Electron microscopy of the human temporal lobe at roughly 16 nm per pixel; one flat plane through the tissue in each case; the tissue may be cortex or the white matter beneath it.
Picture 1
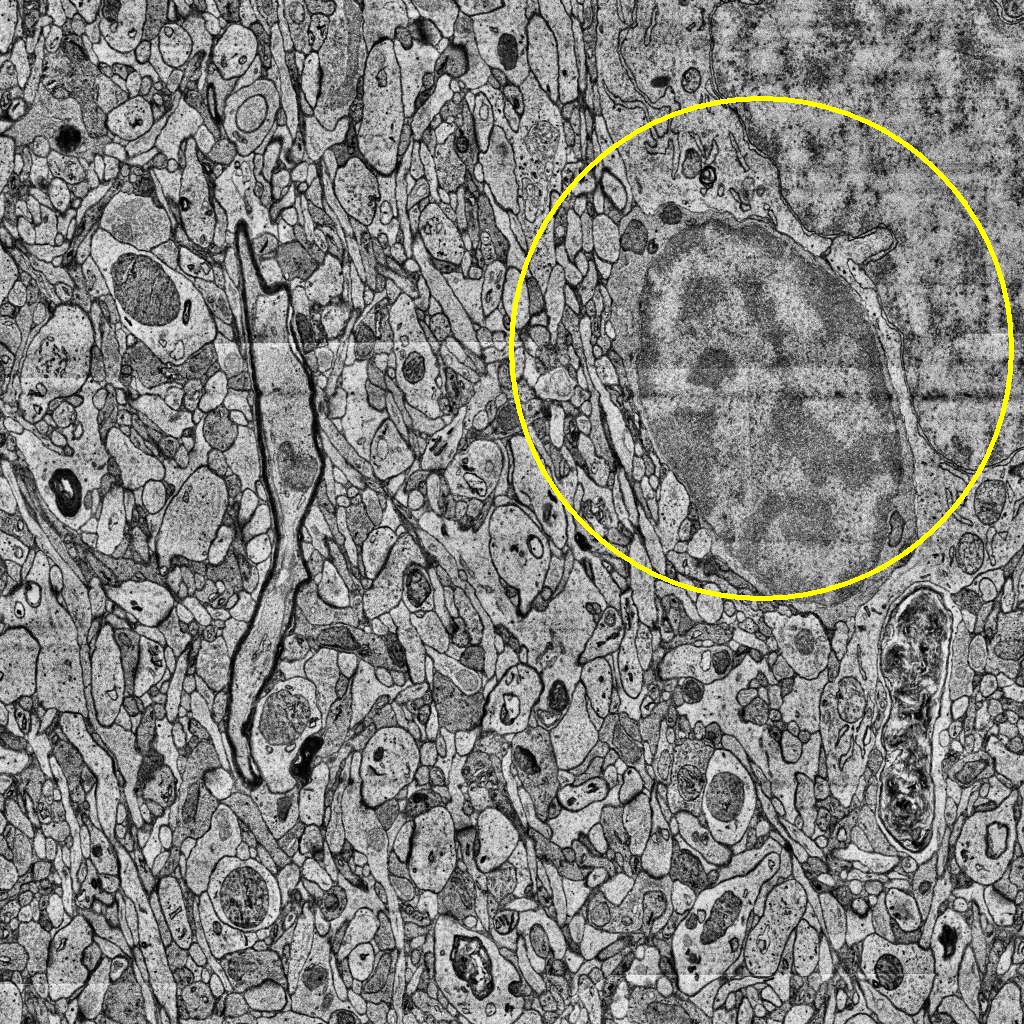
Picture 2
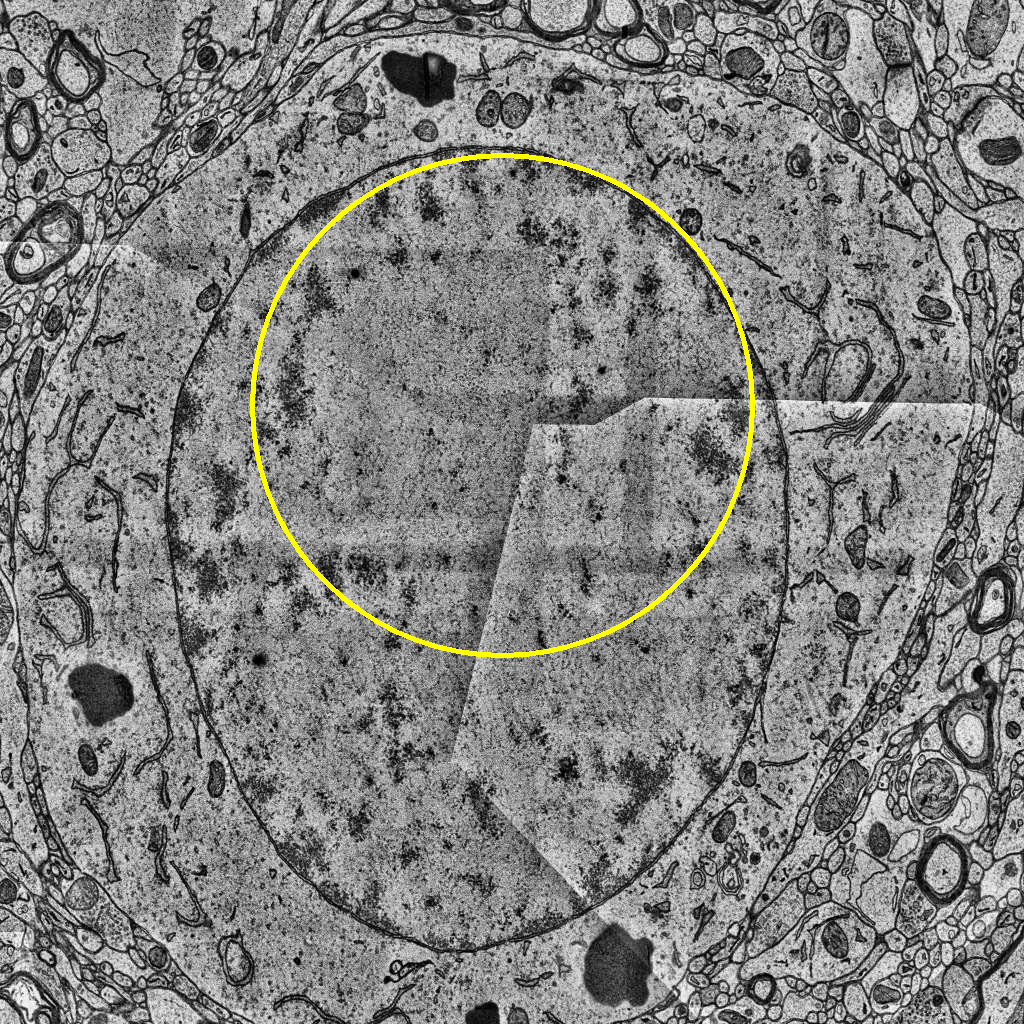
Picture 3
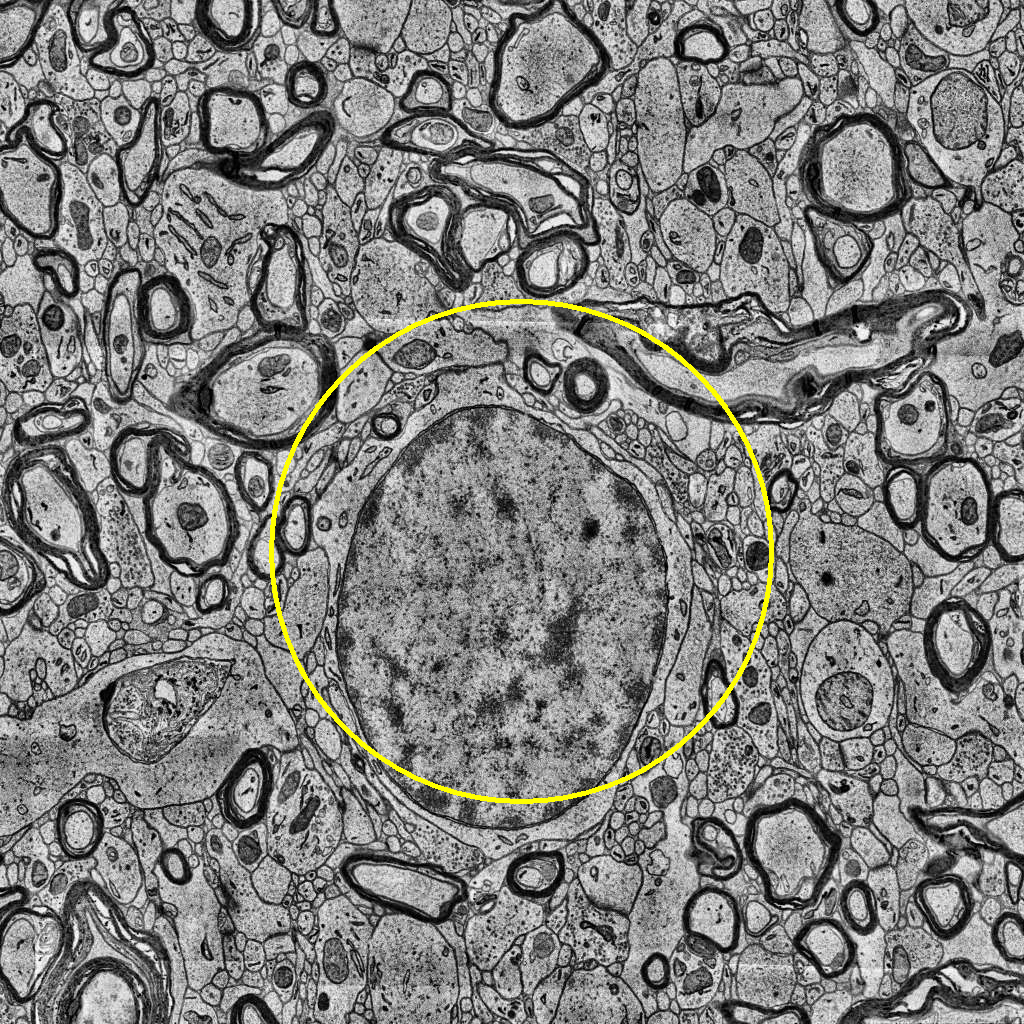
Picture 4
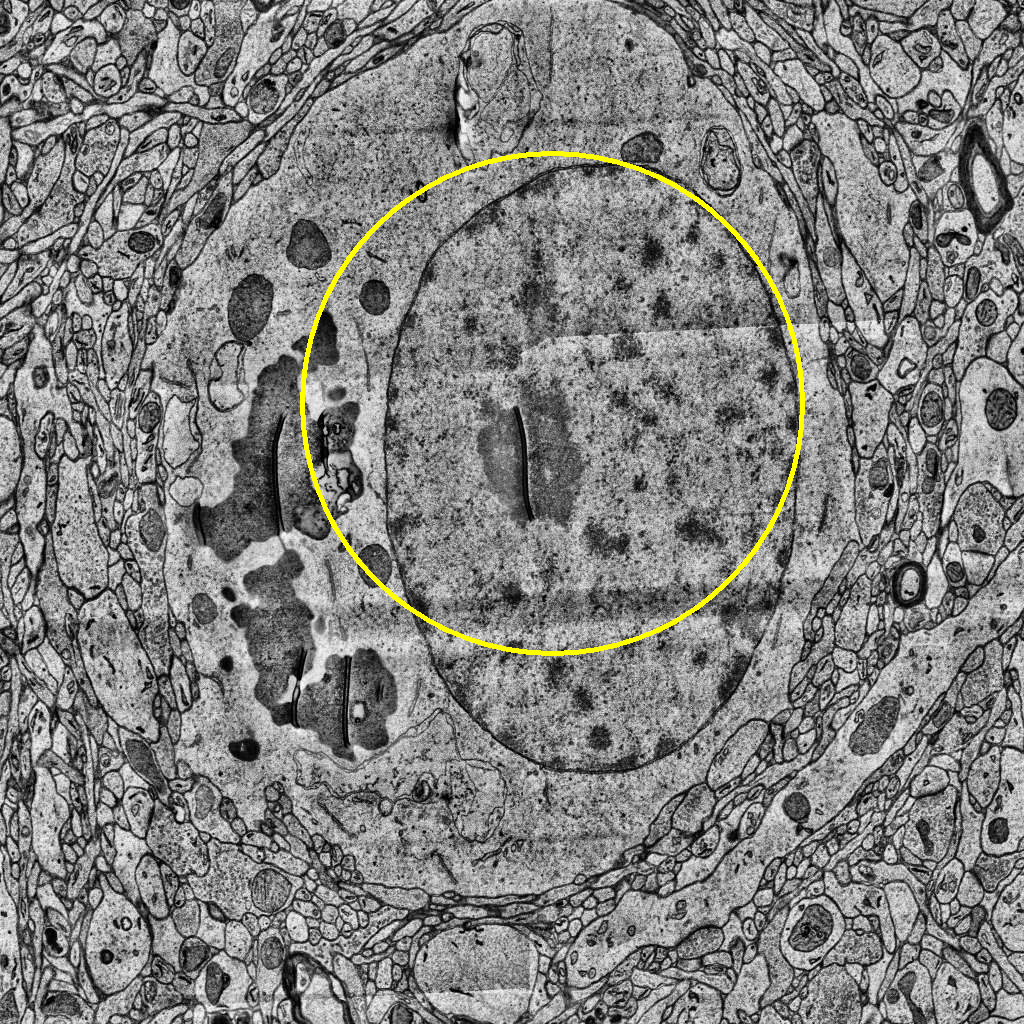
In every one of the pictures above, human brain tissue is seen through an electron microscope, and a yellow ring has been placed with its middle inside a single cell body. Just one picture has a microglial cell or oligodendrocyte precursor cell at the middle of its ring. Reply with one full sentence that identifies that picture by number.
It is picture 3 that shows the wanted cell at its ring's centre.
